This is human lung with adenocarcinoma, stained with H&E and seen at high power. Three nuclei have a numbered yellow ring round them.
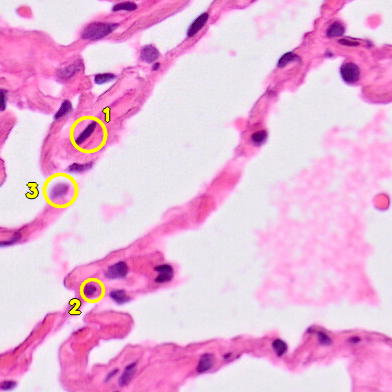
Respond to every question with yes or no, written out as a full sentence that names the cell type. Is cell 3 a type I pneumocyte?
Yes, in this section the cell with number 3 is a type I pneumocyte.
